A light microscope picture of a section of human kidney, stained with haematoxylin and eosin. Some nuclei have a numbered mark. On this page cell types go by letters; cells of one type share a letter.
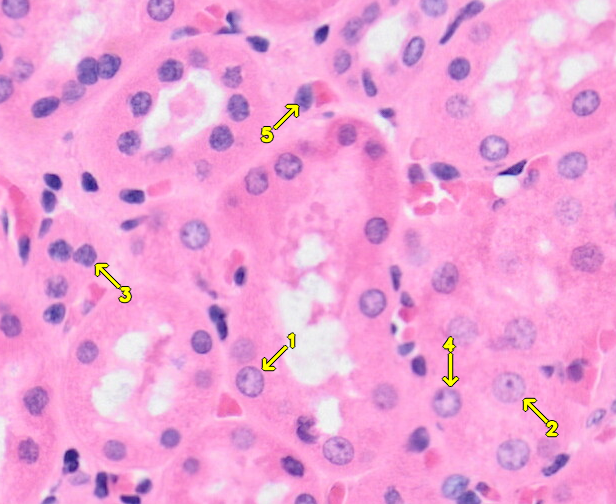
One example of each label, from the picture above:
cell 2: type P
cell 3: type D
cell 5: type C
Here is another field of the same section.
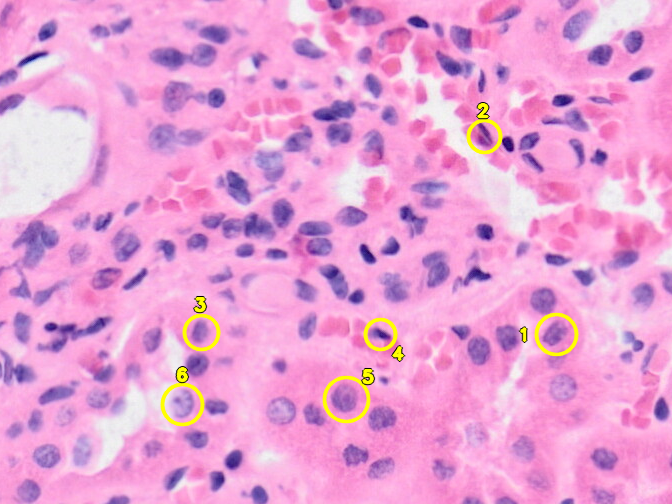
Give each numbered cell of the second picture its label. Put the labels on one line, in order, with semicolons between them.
type P; type C; type D; type C; type P; type D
